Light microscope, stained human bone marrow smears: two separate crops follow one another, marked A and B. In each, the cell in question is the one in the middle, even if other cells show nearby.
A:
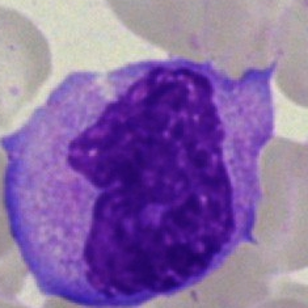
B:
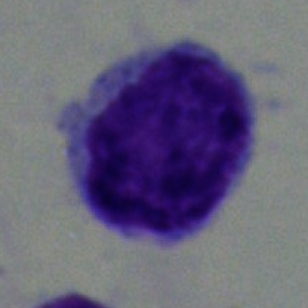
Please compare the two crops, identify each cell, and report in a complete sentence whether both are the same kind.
No, crop A captures a monocyte; meanwhile crop B captures a hairy cell.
